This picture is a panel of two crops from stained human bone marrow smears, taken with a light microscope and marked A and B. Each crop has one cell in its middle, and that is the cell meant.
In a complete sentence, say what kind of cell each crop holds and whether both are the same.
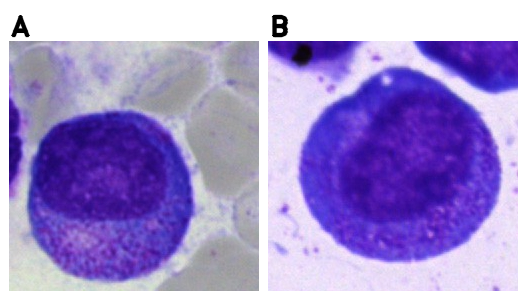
Yes, what both crops show is promyelocytes.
